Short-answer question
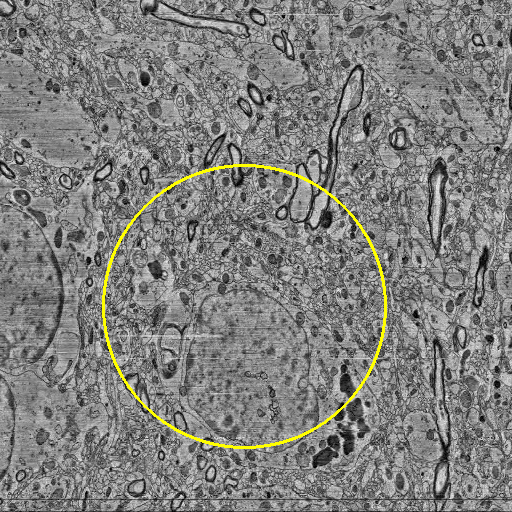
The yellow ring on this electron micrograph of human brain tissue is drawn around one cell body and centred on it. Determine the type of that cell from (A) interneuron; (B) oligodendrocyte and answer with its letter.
A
